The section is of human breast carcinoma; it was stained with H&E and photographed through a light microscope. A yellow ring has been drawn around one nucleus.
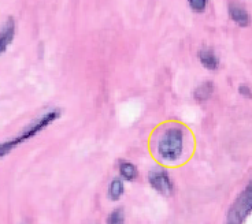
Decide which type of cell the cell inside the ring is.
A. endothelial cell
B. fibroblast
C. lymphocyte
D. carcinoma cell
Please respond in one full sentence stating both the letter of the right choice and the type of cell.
Option A gets it right, as the cell inside the ring is an endothelial cell.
